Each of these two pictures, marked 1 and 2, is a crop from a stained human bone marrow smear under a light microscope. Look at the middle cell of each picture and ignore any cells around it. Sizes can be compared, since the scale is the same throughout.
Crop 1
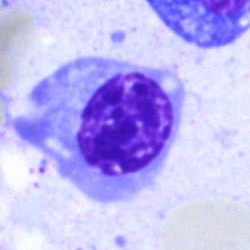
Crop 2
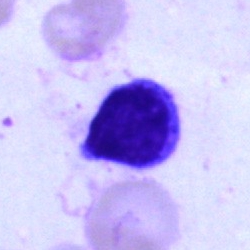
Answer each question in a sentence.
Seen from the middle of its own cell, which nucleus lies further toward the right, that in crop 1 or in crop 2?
In crop 1 the nucleus is shifted more toward the right.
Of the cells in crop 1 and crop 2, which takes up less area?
The cell in crop 2 is smaller; the one in crop 1 has about 2.5 times its area.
